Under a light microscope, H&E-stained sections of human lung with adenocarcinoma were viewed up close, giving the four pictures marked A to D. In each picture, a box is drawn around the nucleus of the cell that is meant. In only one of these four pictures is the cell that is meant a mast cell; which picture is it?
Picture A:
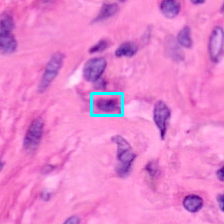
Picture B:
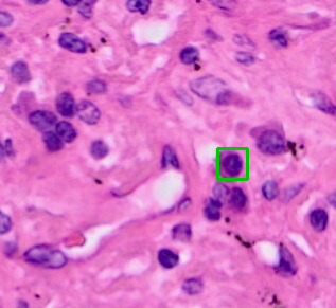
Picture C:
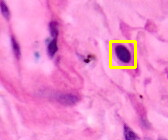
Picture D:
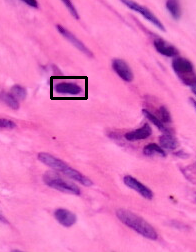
C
